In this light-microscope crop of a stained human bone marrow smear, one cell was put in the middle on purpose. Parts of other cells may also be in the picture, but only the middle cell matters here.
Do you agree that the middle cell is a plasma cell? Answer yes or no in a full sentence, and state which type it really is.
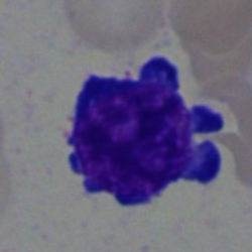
No, the identification should read a proerythroblast, not a plasma cell, for the central cell.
